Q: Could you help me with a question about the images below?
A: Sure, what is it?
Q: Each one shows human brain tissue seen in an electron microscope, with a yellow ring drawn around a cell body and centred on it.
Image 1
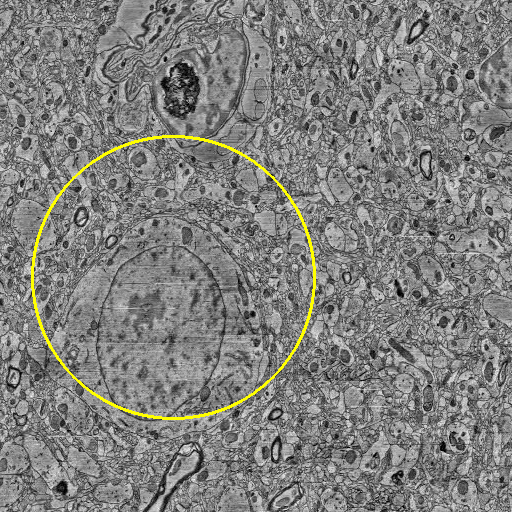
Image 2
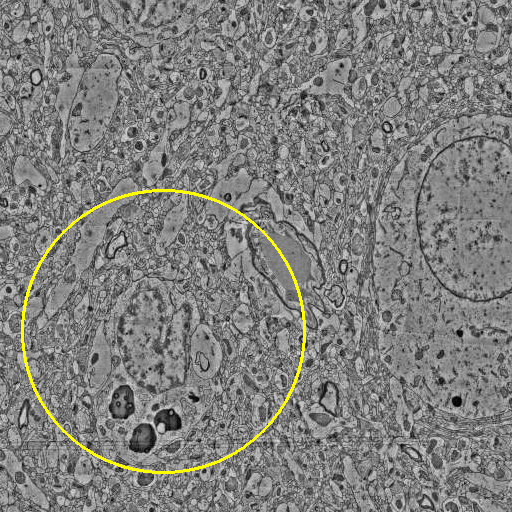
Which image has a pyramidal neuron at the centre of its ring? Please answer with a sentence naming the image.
Image 1 has it at the centre of its ring.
